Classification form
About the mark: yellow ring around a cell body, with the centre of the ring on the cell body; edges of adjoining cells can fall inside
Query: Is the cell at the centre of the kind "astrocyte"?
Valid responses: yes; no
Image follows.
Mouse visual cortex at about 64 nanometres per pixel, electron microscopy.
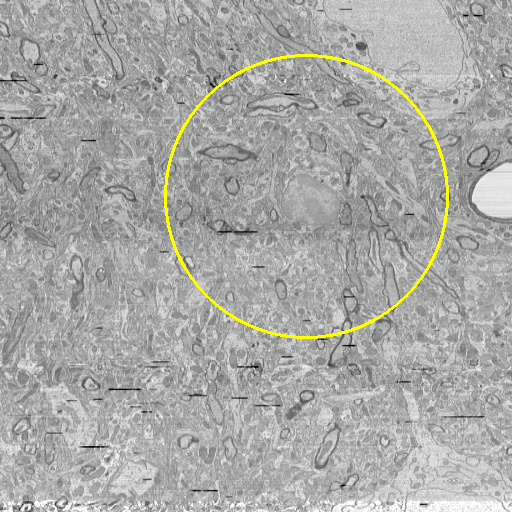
no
